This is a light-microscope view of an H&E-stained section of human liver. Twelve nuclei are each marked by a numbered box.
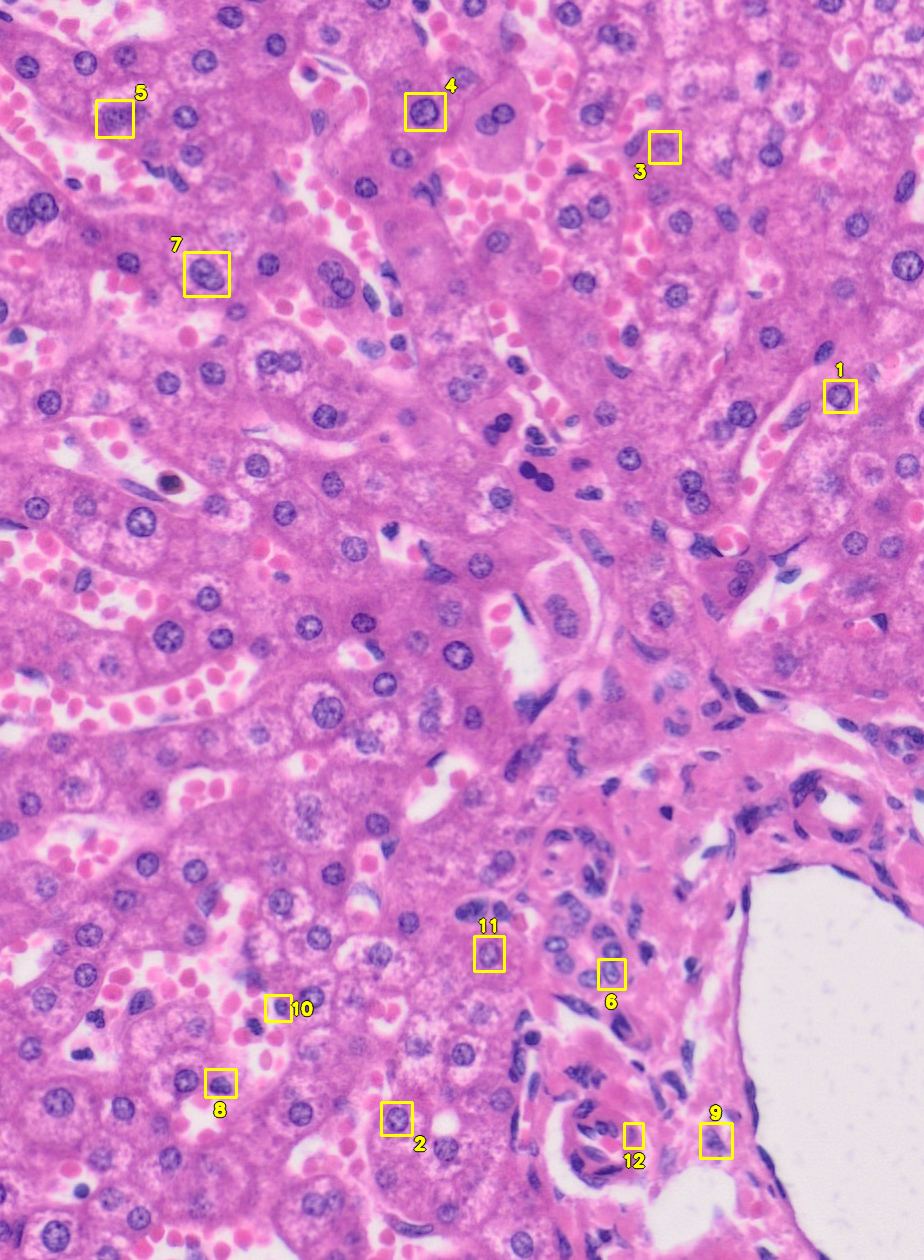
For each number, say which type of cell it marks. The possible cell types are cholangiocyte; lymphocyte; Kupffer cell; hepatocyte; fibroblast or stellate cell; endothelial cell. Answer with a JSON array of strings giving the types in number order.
["hepatocyte", "hepatocyte", "hepatocyte", "hepatocyte", "hepatocyte", "cholangiocyte", "hepatocyte", "fibroblast or stellate cell", "fibroblast or stellate cell", "fibroblast or stellate cell", "hepatocyte", "fibroblast or stellate cell"]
